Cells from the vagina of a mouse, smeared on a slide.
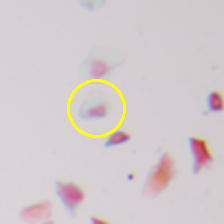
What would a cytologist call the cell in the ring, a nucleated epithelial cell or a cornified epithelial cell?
A cytologist would call it a nucleated epithelial cell.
